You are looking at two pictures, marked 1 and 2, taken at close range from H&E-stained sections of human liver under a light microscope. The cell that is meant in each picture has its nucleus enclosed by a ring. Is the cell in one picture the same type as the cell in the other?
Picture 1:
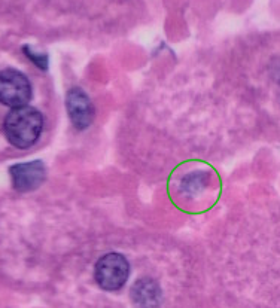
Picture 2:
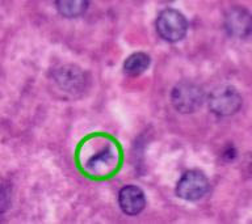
yes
